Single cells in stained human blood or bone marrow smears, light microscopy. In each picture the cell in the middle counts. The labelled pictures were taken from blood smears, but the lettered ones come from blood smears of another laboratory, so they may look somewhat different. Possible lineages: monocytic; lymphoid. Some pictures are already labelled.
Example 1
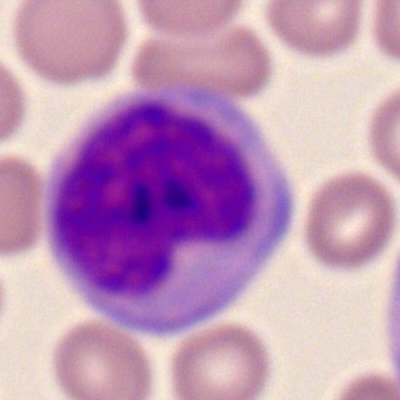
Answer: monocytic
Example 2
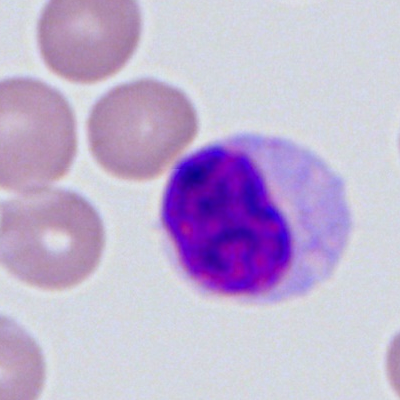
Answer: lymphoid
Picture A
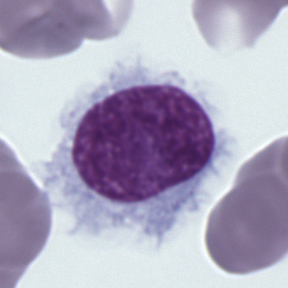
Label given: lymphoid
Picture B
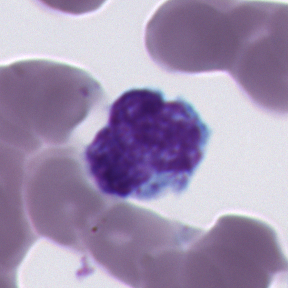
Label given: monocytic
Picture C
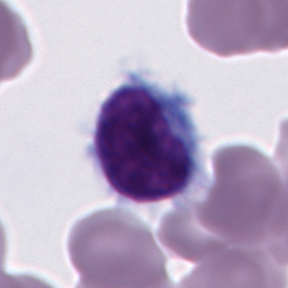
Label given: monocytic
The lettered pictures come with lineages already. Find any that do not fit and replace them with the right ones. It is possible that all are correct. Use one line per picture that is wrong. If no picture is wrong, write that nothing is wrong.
C should be lymphoid, not monocytic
